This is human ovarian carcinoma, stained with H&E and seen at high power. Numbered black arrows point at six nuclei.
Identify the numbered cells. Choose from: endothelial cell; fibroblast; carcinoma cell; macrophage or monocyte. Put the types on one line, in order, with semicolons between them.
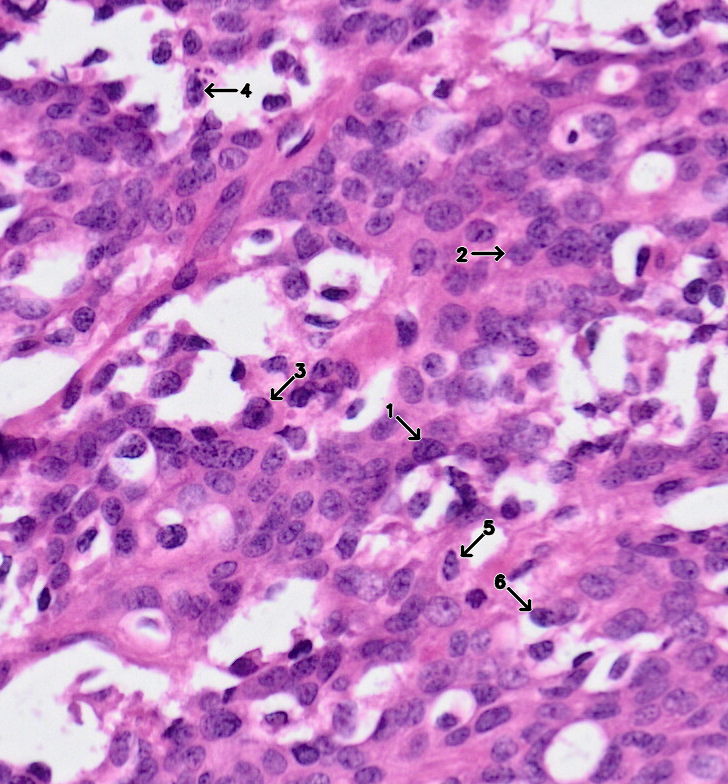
carcinoma cell; carcinoma cell; carcinoma cell; macrophage or monocyte; macrophage or monocyte; carcinoma cell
